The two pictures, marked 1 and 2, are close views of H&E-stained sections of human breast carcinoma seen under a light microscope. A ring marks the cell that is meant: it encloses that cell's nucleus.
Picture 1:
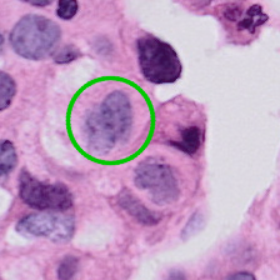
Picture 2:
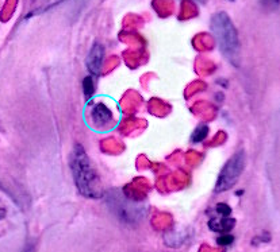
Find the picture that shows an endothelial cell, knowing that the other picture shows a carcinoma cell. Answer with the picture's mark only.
2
